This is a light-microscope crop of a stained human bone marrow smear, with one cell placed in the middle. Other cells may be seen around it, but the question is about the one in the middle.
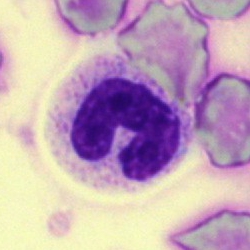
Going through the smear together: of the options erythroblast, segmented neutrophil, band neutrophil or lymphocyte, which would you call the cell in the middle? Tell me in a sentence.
In the center of this field lies a band neutrophil.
